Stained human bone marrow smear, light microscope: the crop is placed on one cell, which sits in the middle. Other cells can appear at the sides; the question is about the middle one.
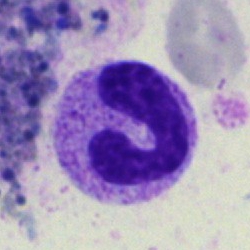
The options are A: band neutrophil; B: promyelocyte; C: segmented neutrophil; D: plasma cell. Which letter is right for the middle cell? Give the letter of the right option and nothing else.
A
